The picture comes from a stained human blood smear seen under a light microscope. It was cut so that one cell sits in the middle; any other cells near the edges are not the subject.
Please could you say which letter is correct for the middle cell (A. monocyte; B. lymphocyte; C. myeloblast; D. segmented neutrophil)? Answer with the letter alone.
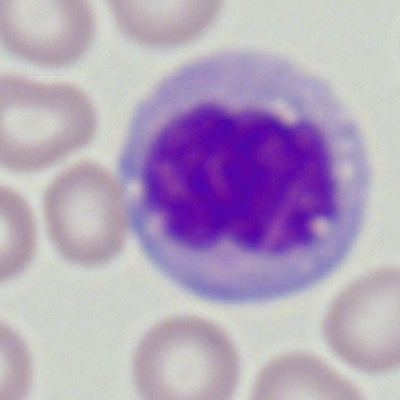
A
